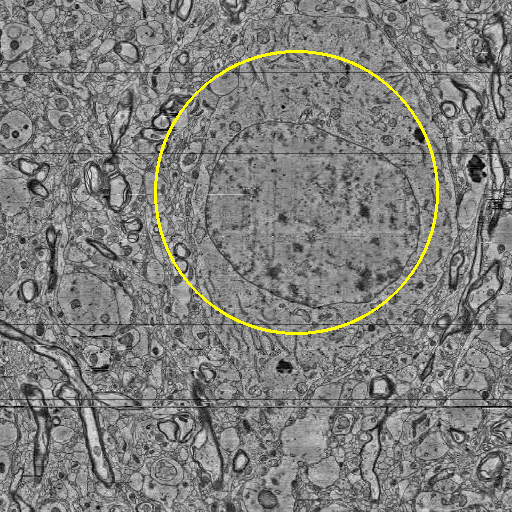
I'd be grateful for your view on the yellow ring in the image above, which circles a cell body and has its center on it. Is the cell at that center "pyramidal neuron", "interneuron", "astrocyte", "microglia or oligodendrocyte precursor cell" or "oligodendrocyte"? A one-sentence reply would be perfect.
The cell at the center of the yellow ring is a pyramidal neuron.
